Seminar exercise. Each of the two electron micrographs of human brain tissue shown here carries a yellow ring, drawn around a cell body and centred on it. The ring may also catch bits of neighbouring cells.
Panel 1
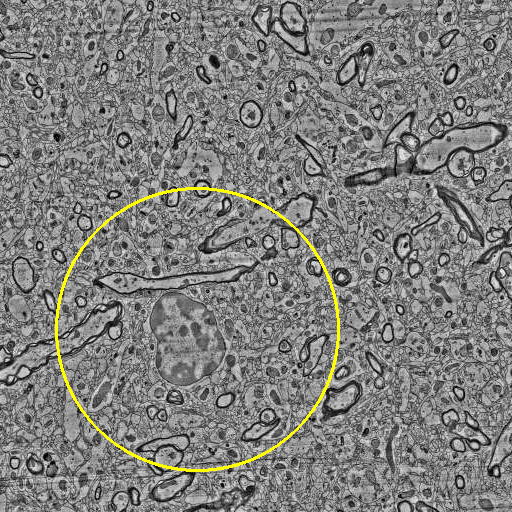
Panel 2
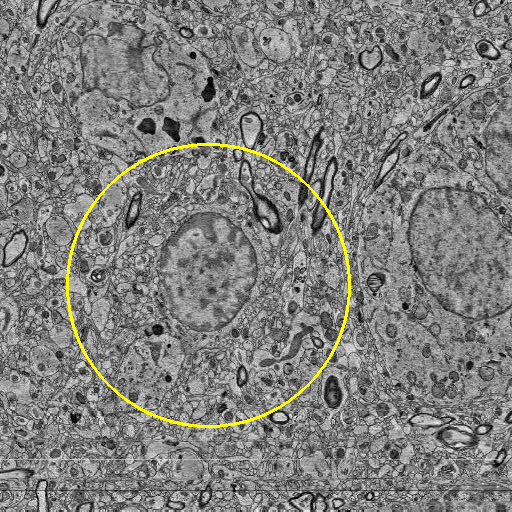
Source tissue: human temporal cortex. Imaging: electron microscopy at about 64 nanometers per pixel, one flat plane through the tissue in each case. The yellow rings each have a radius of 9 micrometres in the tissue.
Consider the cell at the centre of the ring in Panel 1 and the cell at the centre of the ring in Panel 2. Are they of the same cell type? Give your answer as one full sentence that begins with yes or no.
No, the two cells are of two types.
